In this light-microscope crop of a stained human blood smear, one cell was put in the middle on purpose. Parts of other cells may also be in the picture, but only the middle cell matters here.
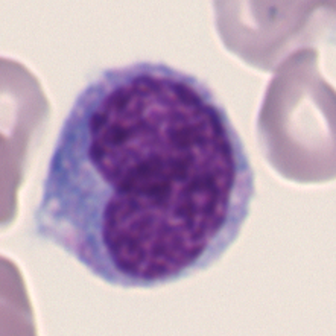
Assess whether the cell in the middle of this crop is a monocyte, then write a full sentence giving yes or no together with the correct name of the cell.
Yes, as regards the cell in the middle, it is a monocyte.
